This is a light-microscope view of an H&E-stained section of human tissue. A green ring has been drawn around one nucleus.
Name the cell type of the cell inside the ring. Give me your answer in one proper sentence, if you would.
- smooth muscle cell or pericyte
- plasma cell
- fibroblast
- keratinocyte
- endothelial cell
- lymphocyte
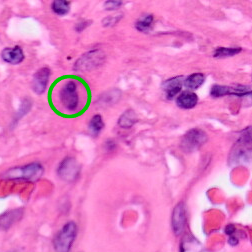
In this tissue section, the cell inside the ring is to be classed as a plasma cell.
